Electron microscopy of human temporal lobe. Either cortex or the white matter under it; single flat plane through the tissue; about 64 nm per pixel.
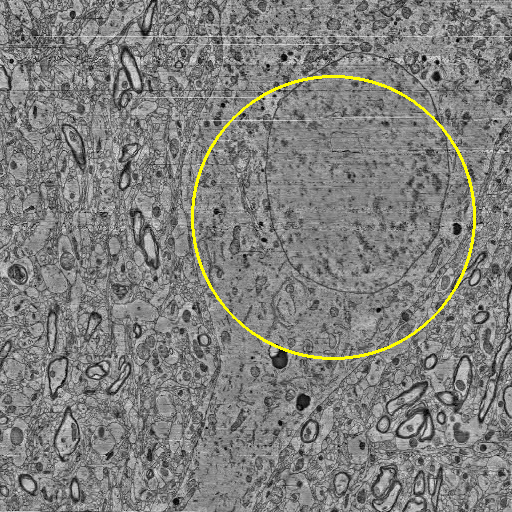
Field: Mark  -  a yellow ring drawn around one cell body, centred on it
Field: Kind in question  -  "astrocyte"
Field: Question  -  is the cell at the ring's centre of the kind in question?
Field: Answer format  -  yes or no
no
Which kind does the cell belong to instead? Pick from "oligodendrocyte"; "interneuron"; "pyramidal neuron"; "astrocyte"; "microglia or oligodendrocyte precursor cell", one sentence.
What the ring is centred on is a pyramidal neuron.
